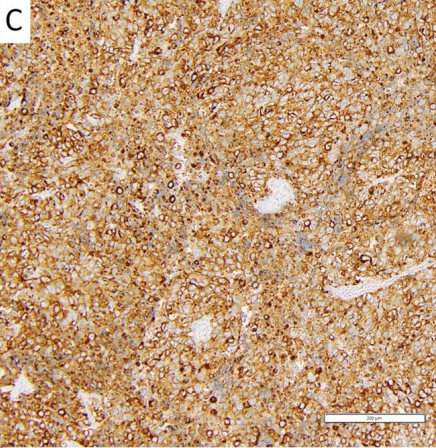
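This tumor tissue is stained so that almost every tumor cell carries a strong brown color in its cytoplasm, while the rounded nuclei stay pale and appear as small clear or bluish holes within the brown. The staining is diffuse and fairly even across the whole field, outlining the cells as a crowded mosaic. Only a few small empty spaces, likely thin-walled vessels or clefts, and narrow streaks of unstained stroma break the sheet of brown cells.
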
